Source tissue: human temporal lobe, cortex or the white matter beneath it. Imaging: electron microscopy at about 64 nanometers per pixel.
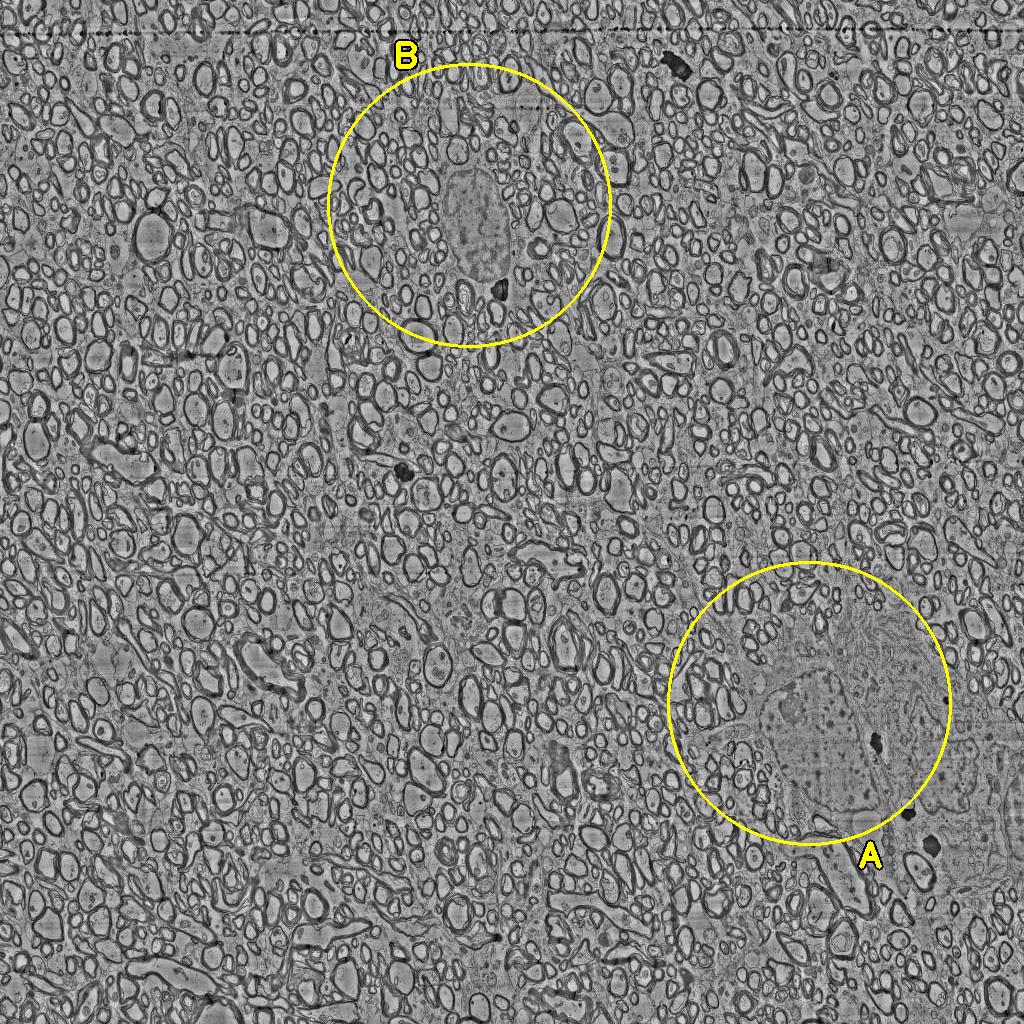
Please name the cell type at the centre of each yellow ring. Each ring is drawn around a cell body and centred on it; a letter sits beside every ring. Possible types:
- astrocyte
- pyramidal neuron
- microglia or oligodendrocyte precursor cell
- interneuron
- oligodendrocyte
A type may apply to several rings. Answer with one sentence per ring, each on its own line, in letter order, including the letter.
Ring A is centred on the cell body of an astrocyte.
Ring B is centred on the cell body of an oligodendrocyte.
